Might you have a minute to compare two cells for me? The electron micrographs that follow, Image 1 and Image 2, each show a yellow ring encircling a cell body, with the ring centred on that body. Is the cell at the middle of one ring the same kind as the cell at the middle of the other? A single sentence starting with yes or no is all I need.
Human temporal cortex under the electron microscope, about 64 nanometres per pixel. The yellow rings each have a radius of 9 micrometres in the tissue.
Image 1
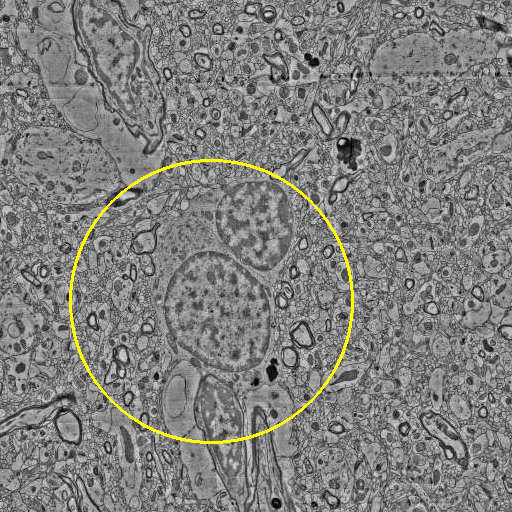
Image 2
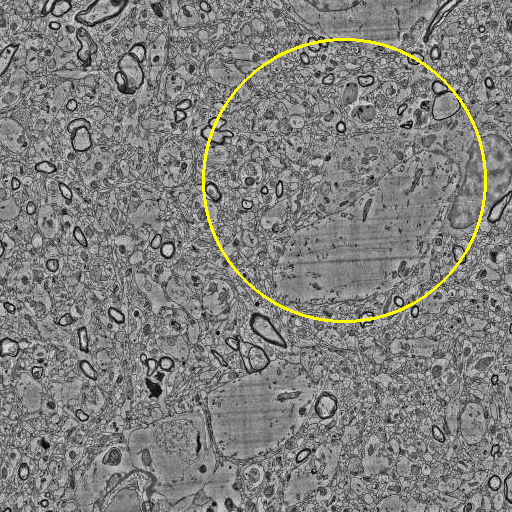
Yes, the cells in the middle of the two rings are of one shared kind.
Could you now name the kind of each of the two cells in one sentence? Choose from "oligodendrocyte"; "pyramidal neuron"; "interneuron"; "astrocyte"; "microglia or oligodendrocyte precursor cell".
In each of the two pictures, the ringed cell is an oligodendrocyte.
